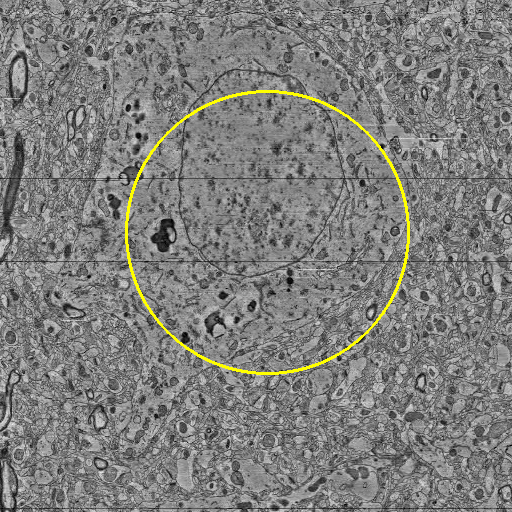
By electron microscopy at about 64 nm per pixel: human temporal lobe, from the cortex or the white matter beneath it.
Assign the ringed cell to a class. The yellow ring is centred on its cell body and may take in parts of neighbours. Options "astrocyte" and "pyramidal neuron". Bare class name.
pyramidal neuron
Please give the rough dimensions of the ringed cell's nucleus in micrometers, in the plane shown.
The ringed cell's nucleus is about 14 micrometres long and 11 micrometres wide in this plane.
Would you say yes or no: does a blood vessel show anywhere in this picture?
No, no blood vessel shows in the picture.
